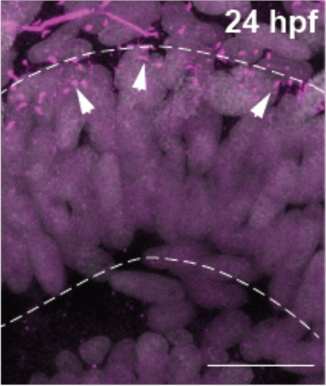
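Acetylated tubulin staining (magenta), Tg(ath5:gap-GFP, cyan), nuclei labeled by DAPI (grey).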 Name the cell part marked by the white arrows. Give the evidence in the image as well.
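Primary cilium. The arrows point to small magenta dots and short strokes at the upper dashed line. The marked structures are tiny compared with the grey nuclei.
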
